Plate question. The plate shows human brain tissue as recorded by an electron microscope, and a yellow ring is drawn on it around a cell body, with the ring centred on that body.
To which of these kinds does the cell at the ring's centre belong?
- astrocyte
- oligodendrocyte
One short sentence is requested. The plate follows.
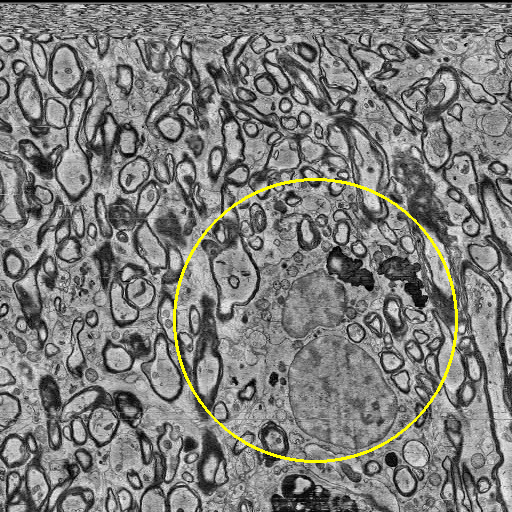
The cell at the ring's centre is an oligodendrocyte.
